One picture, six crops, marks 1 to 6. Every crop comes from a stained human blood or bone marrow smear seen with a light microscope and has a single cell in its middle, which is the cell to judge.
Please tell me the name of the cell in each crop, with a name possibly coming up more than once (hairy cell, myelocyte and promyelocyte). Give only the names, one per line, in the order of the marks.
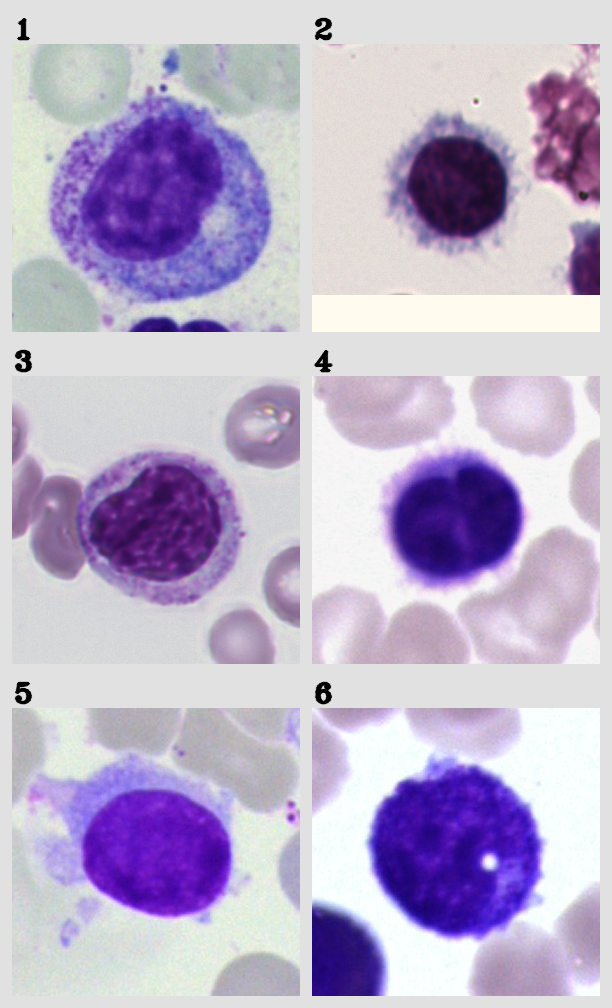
promyelocyte
hairy cell
myelocyte
hairy cell
hairy cell
promyelocyte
